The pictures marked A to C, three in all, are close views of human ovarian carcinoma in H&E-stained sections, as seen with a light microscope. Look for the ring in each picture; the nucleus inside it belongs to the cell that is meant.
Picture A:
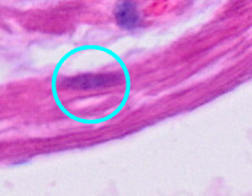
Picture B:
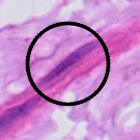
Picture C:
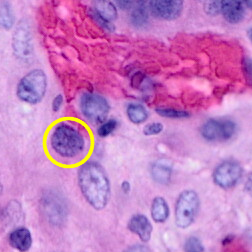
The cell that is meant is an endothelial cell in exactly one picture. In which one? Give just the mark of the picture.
C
